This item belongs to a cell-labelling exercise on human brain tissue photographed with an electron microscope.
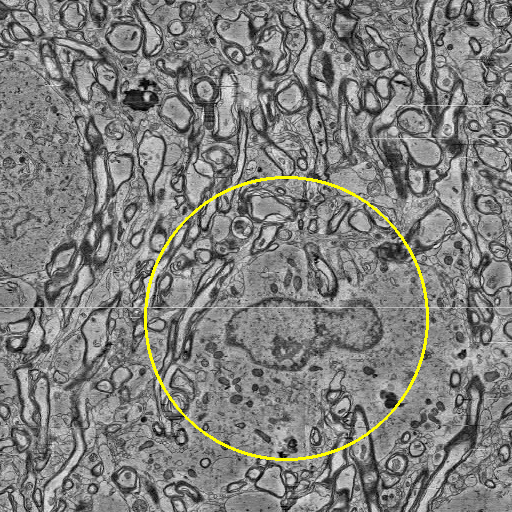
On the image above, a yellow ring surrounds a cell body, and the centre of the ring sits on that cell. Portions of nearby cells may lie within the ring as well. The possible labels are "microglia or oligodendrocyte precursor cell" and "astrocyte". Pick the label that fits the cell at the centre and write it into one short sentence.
This cell should be labelled as an astrocyte.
